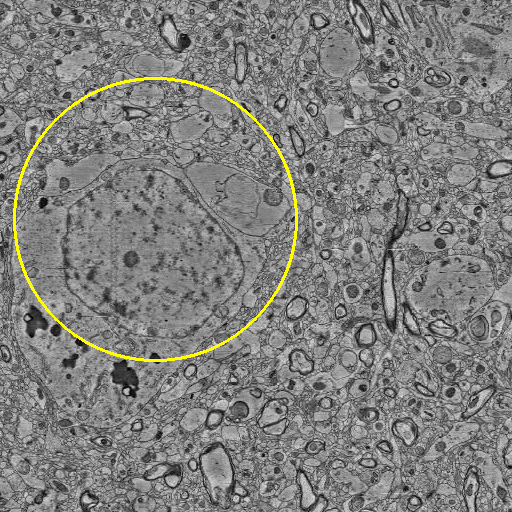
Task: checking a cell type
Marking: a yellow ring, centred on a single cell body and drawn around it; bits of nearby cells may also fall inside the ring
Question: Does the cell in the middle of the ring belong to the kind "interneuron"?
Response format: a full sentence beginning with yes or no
Yes, the cell marked at the ring's centre in the picture is of that kind.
